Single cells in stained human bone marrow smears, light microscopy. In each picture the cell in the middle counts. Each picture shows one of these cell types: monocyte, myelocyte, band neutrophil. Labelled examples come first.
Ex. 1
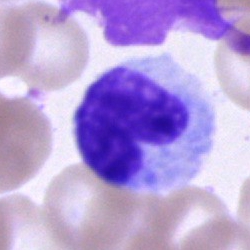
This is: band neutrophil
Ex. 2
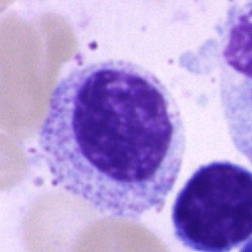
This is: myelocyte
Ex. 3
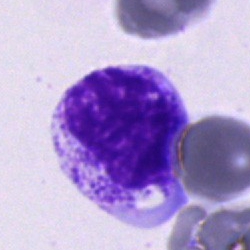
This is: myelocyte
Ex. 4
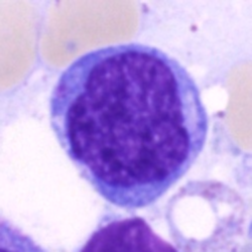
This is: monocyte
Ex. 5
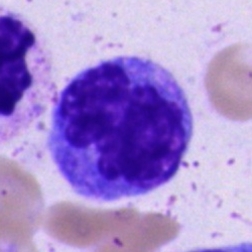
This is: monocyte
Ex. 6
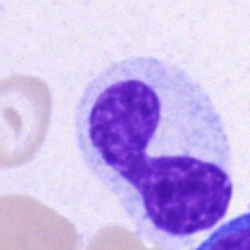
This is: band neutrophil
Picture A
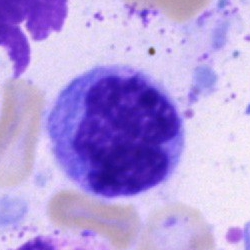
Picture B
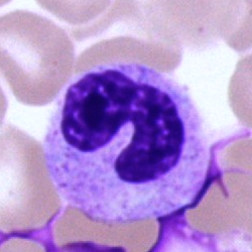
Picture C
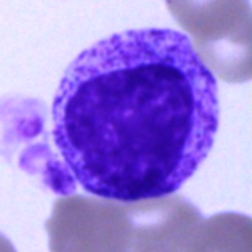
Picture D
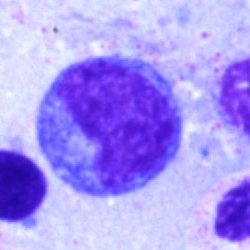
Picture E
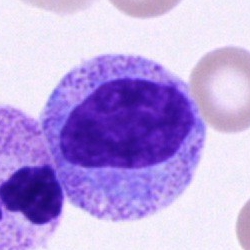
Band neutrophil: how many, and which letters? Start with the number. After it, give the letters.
1: B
